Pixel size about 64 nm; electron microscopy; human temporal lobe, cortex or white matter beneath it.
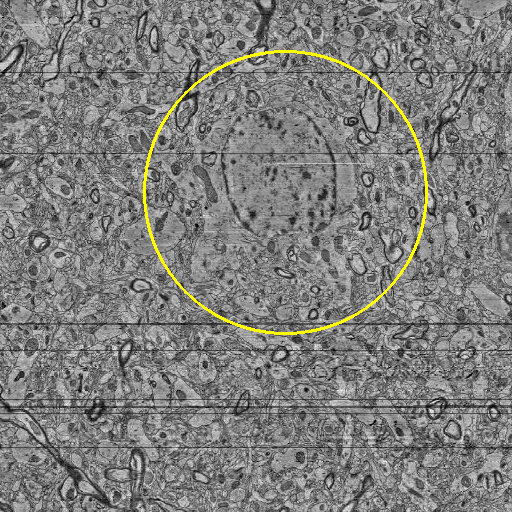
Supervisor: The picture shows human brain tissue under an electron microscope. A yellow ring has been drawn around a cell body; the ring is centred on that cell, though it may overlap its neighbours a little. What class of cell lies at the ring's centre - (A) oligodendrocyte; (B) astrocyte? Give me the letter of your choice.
B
